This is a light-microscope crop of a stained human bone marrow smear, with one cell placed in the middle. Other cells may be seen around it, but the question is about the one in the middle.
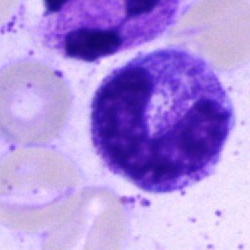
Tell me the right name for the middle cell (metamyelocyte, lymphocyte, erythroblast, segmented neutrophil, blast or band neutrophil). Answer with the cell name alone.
band neutrophil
